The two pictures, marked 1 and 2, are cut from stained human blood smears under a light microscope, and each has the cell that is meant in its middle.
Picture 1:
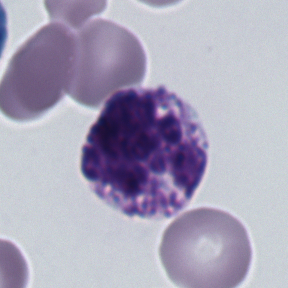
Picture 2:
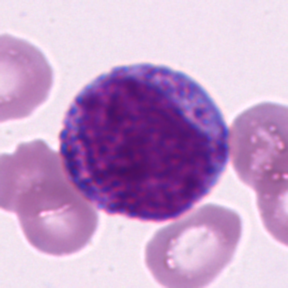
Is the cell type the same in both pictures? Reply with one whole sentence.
No, they differ: the cell is a basophil in picture 1 and a promyelocyte in picture 2.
